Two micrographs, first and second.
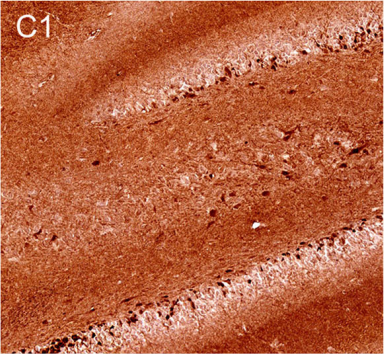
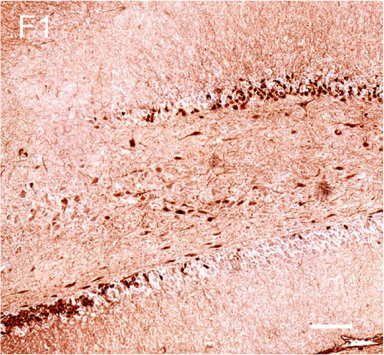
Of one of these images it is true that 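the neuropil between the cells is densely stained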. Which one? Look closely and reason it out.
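The first image. Second image: the background between cells is pale, and mainly individual cell bodies are dark brown. First image: the whole field between the cell bodies is dark brown.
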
